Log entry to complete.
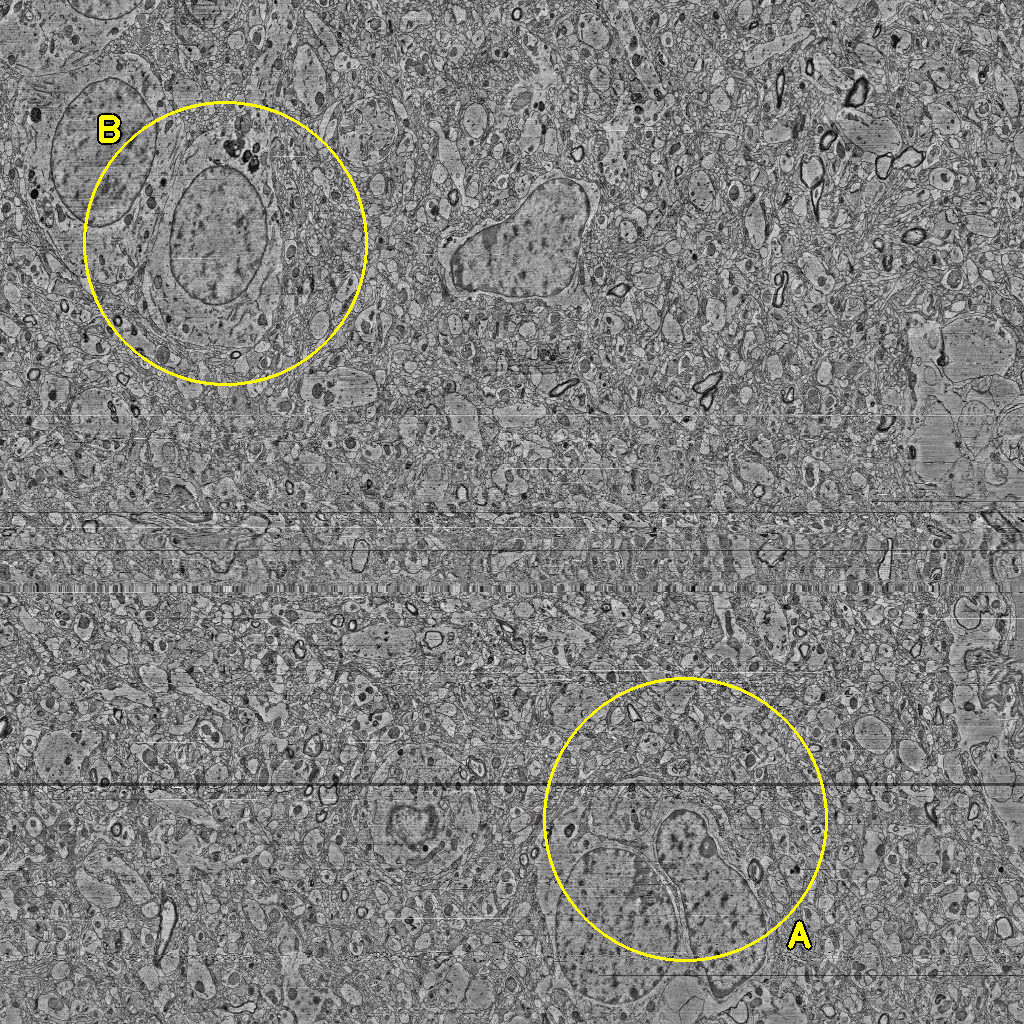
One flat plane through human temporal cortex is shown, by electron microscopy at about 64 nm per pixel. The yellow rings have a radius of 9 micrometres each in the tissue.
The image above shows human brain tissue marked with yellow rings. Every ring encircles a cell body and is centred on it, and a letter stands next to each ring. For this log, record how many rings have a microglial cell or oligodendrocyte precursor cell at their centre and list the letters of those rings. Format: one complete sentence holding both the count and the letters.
The letter A marks the single ring that is centred on a microglial cell or oligodendrocyte precursor cell.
